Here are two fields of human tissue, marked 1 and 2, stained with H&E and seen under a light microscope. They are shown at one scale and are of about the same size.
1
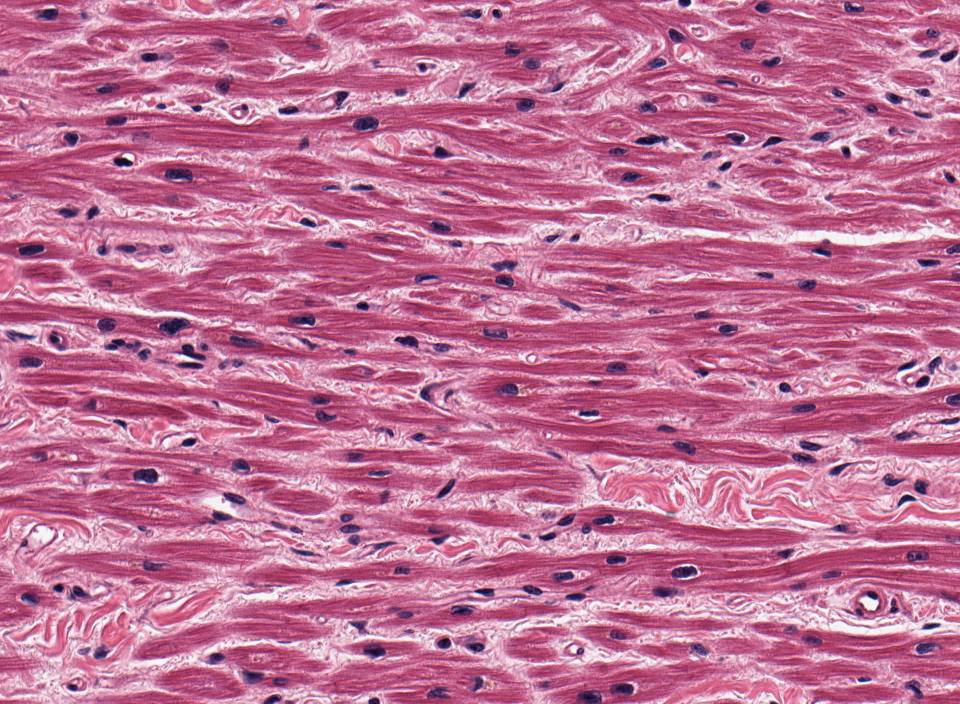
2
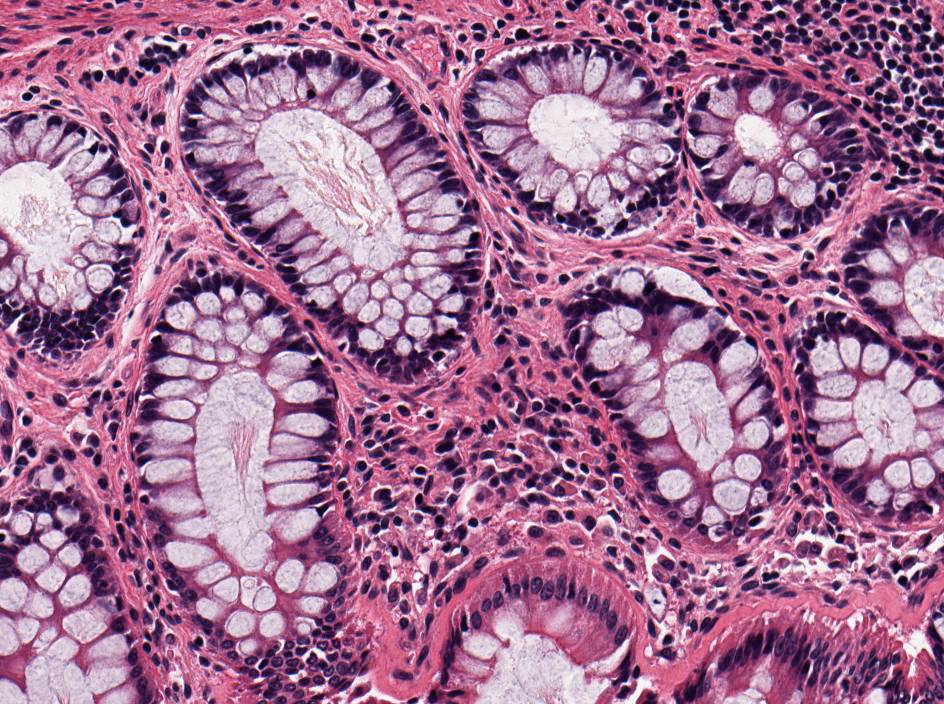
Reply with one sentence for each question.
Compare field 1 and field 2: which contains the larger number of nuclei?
There are more nuclei in field 2.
